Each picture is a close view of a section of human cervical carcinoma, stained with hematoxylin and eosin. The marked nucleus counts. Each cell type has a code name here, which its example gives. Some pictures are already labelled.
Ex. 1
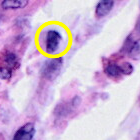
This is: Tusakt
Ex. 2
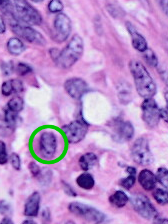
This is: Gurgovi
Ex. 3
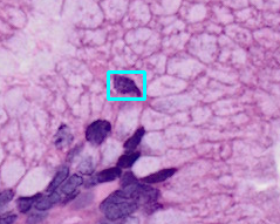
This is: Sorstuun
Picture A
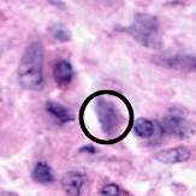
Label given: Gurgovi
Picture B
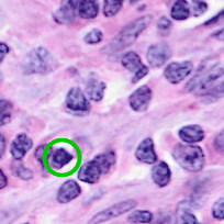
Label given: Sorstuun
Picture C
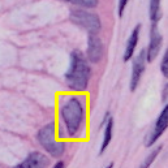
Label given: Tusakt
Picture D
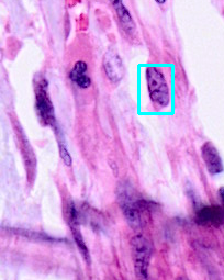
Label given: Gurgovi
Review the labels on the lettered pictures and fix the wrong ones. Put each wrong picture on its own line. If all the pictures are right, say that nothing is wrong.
B: change Sorstuun to Tusakt
C: change Tusakt to Sorstuun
